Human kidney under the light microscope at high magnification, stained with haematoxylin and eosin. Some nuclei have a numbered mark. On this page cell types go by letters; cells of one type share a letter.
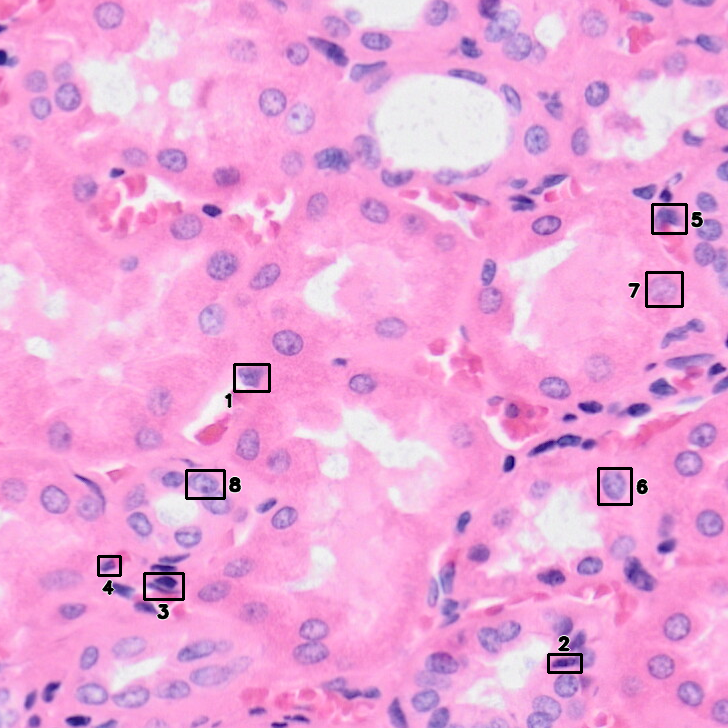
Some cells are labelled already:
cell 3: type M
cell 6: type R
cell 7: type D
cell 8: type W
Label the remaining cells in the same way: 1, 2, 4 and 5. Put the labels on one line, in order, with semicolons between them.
type M; type W; type M; type M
